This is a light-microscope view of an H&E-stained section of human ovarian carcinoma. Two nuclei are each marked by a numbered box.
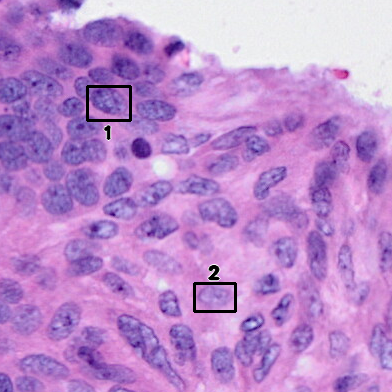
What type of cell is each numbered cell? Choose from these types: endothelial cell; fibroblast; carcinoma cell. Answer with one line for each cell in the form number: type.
1: carcinoma cell
2: fibroblast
